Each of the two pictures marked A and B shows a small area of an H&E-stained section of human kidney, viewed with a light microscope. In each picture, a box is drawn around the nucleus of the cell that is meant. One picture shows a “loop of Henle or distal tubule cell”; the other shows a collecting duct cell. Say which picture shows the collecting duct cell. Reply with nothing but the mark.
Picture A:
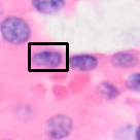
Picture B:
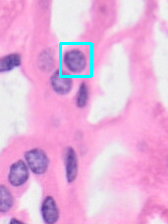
B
